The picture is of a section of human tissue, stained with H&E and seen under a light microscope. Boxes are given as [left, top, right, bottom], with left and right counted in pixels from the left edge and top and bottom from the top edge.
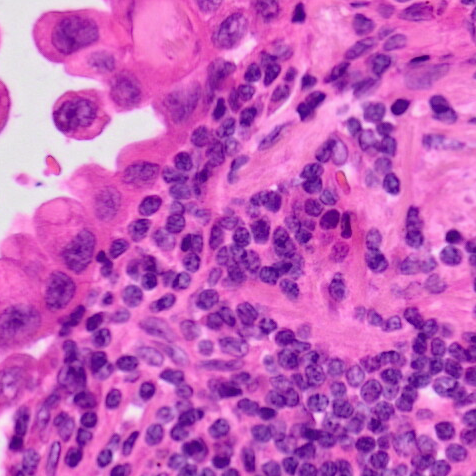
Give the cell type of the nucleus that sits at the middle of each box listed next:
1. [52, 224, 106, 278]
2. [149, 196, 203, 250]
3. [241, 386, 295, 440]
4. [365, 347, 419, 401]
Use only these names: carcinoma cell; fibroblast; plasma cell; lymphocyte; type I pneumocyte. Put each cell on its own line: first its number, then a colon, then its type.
1: carcinoma cell
2: lymphocyte
3: lymphocyte
4: lymphocyte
